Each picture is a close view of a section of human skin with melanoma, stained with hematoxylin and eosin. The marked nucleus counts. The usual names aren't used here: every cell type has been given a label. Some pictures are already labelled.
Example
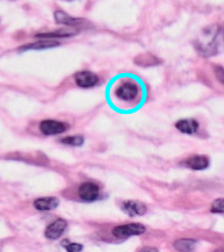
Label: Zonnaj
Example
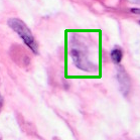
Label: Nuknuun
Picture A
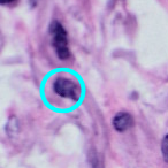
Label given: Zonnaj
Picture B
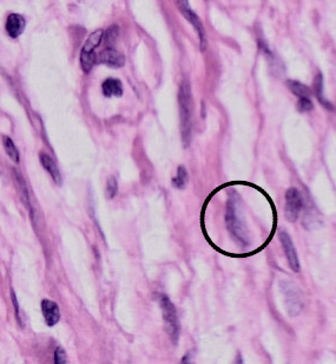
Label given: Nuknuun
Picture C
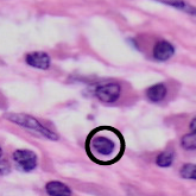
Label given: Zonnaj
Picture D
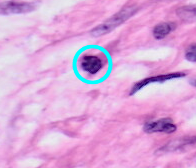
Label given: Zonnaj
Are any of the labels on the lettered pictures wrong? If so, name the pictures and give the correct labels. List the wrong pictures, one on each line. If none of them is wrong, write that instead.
No label is wrong.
